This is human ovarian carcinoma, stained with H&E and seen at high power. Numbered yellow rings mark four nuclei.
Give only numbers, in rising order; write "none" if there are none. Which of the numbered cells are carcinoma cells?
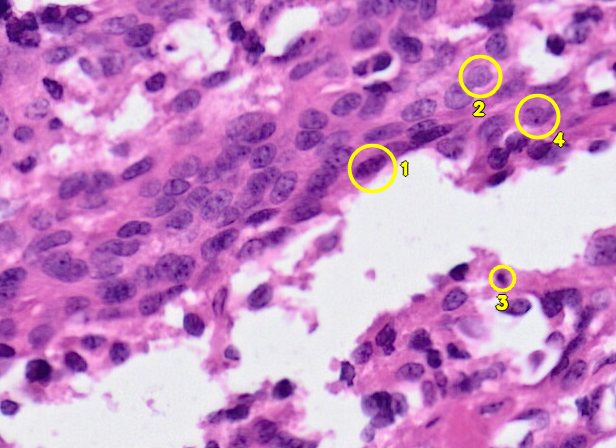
1, 2, 4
